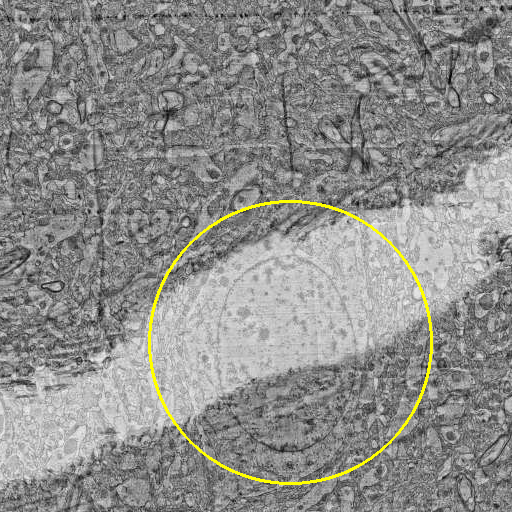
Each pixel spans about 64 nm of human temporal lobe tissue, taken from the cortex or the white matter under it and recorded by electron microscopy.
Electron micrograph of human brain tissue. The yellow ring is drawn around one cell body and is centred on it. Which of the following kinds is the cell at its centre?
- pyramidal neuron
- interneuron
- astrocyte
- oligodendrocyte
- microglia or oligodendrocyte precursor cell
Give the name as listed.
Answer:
pyramidal neuron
